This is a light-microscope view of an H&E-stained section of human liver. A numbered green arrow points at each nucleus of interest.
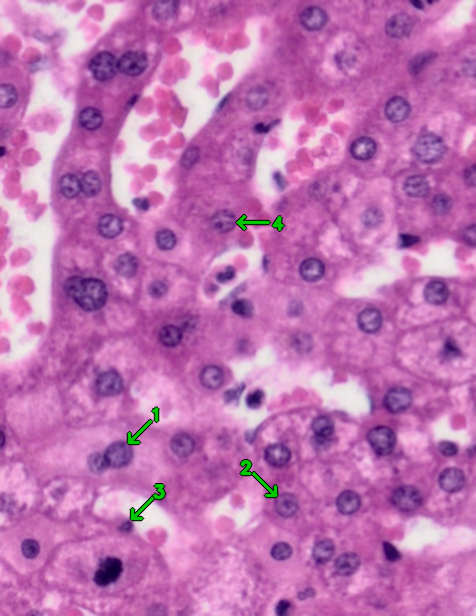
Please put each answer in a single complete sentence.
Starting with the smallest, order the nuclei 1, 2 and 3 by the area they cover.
The order from the smallest nucleus to the largest is 3, 2, 1.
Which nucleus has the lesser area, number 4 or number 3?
With nucleus 4 about 4 times its size, nucleus 3 is the smaller of the two.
